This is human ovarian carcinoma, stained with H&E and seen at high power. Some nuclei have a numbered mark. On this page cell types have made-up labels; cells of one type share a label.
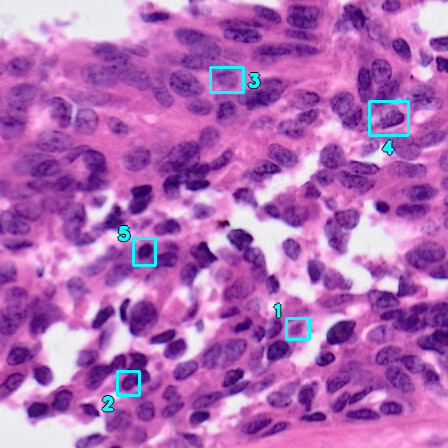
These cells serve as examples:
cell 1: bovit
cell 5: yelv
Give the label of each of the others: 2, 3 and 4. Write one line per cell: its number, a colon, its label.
2: yelv
3: bovit
4: yelv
